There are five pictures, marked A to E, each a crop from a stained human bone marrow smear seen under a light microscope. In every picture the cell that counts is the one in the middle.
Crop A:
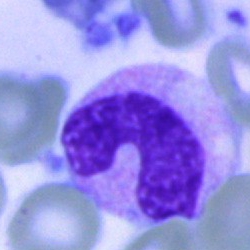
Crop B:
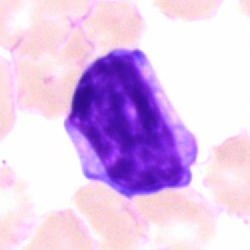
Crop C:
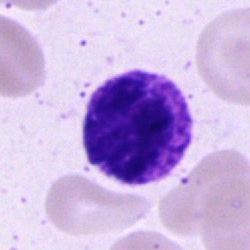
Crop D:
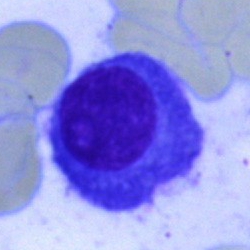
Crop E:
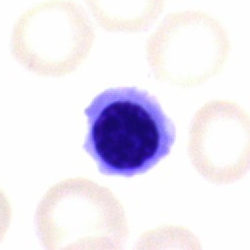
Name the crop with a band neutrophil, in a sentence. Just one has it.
Here the crop that shows a band neutrophil is crop A.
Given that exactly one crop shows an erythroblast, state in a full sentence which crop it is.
Crop E is the crop that shows an erythroblast in its middle.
